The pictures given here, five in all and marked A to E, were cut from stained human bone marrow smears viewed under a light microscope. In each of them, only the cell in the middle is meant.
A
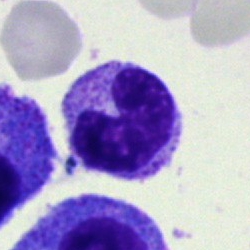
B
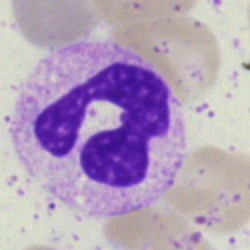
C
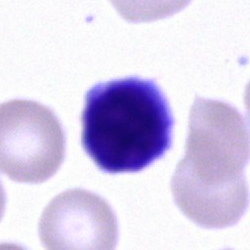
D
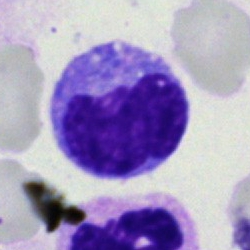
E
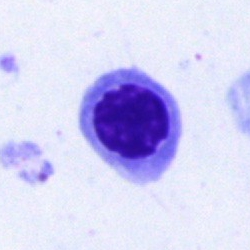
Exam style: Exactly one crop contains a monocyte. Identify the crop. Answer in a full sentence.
The crop marked D is the one in which a monocyte is shown.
